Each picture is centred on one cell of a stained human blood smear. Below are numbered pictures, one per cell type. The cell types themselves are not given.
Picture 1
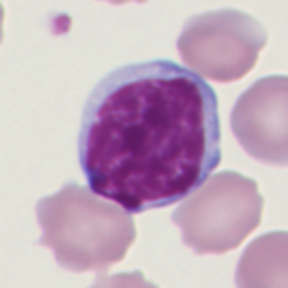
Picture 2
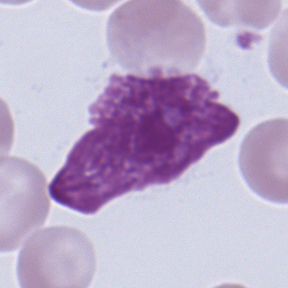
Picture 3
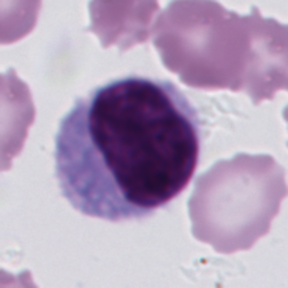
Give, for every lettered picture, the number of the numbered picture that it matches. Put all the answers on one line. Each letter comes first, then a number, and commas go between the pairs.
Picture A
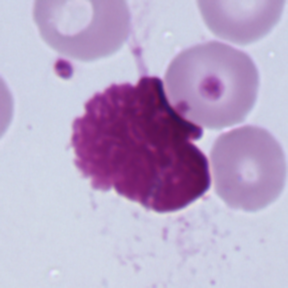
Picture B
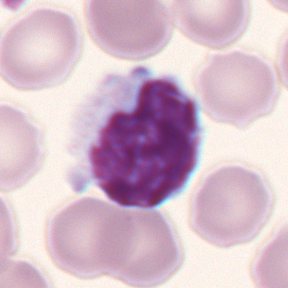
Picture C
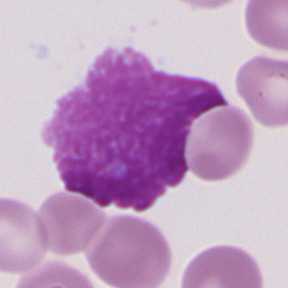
A 2, B 1, C 2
